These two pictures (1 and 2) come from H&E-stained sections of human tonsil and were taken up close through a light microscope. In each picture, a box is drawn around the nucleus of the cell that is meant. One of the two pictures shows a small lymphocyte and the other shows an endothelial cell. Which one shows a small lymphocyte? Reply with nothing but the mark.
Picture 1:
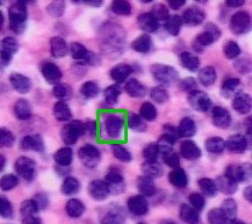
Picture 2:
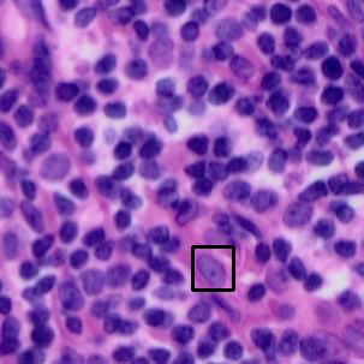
1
